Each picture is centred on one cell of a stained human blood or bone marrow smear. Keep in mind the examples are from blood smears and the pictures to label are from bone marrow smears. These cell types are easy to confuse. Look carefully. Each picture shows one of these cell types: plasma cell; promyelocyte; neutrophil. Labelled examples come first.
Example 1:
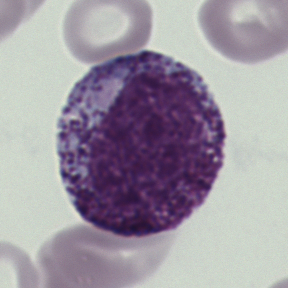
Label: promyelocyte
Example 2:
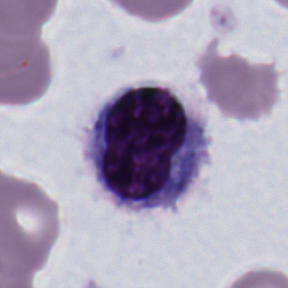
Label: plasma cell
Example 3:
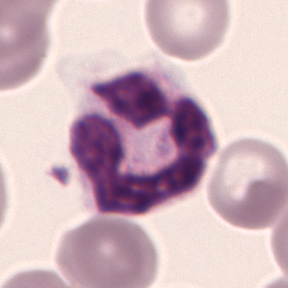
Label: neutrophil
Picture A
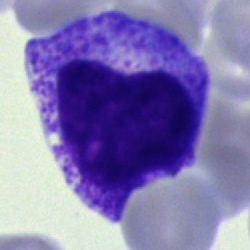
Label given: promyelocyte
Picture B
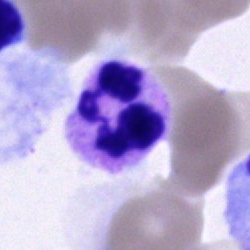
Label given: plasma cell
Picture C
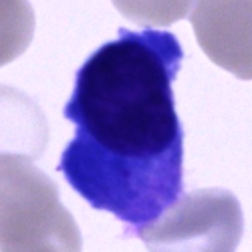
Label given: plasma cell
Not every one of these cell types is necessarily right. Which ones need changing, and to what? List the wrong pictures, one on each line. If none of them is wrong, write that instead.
B should be neutrophil, not plasma cell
